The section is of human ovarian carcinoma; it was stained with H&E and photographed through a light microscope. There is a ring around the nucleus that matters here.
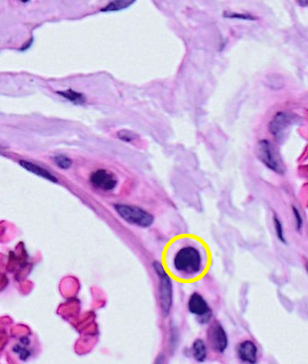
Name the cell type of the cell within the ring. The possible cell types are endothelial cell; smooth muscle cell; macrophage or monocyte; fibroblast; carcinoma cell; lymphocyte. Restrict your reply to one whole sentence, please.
Labelled by cell type, the cell within the ring is a lymphocyte.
